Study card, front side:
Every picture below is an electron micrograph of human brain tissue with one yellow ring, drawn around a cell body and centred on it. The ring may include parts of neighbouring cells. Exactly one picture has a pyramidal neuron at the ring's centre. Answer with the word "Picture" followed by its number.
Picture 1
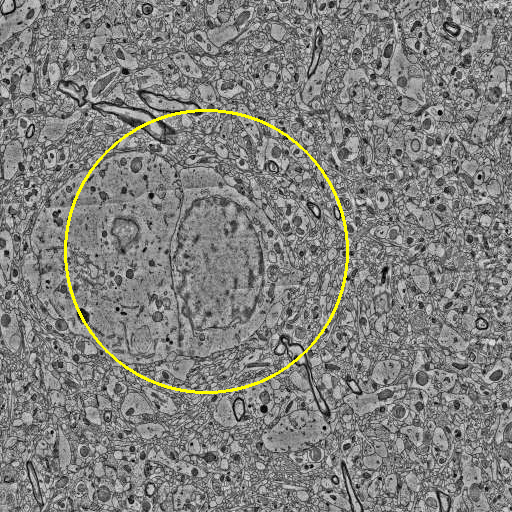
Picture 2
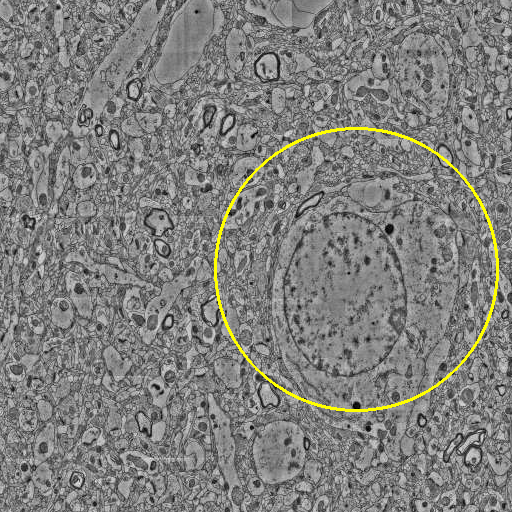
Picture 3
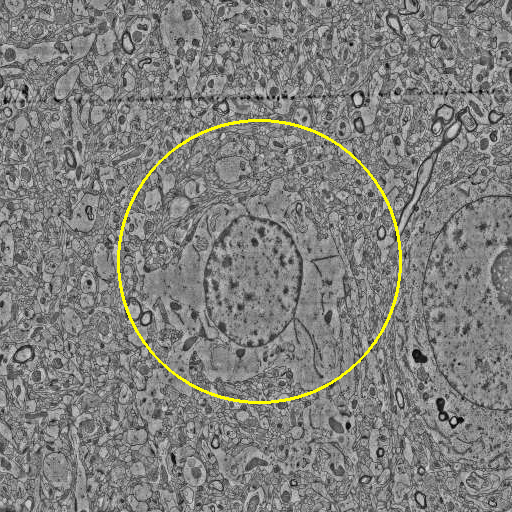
Picture 2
